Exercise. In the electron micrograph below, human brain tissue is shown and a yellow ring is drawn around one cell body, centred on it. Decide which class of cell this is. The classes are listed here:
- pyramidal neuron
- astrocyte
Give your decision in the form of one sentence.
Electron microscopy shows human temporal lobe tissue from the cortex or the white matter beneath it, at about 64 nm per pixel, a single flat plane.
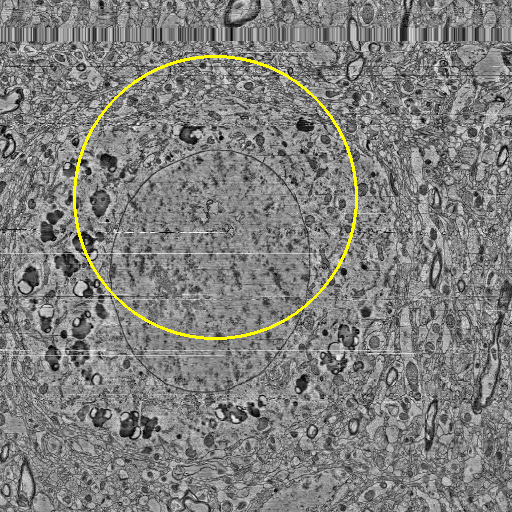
The cell body marked by the ring belongs to a pyramidal neuron.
